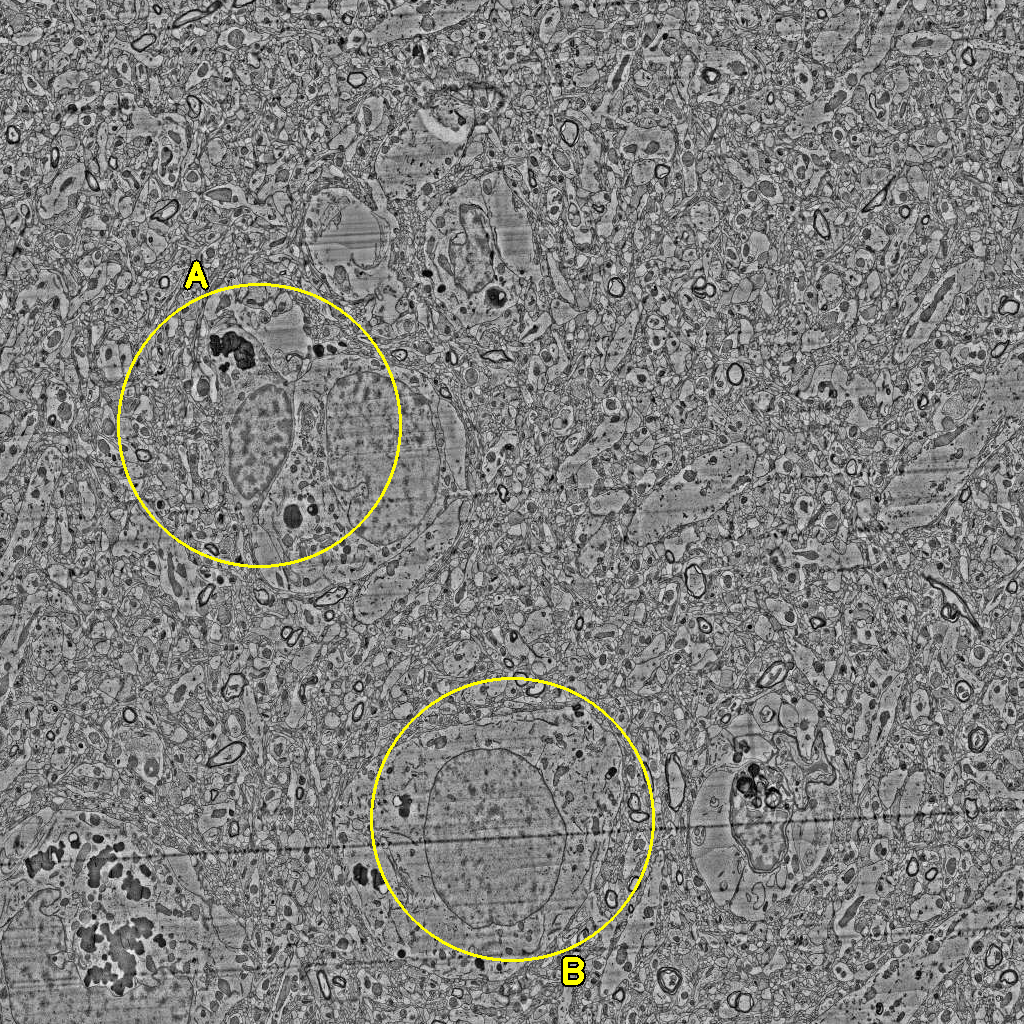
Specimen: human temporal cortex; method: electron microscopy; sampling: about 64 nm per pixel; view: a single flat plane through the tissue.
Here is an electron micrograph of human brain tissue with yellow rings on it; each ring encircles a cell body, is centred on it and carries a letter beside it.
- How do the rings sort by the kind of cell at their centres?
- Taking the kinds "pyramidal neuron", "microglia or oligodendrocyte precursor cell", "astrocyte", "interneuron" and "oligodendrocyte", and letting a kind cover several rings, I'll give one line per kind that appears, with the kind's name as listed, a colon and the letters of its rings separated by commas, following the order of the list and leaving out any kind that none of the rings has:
pyramidal neuron: B
astrocyte: A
